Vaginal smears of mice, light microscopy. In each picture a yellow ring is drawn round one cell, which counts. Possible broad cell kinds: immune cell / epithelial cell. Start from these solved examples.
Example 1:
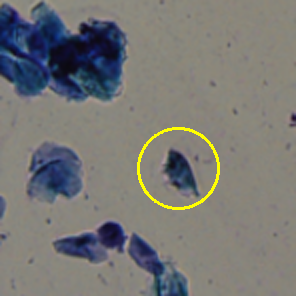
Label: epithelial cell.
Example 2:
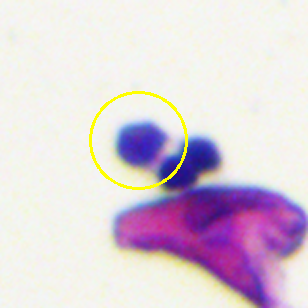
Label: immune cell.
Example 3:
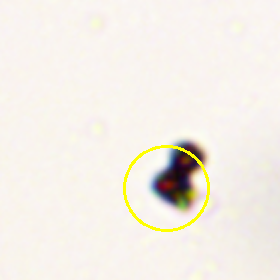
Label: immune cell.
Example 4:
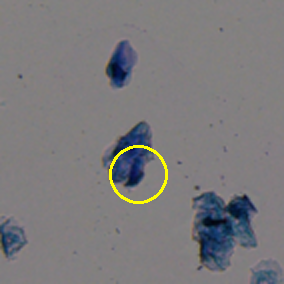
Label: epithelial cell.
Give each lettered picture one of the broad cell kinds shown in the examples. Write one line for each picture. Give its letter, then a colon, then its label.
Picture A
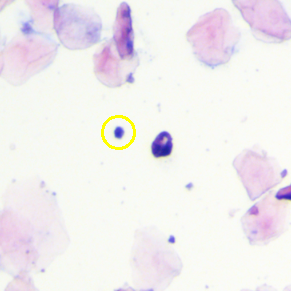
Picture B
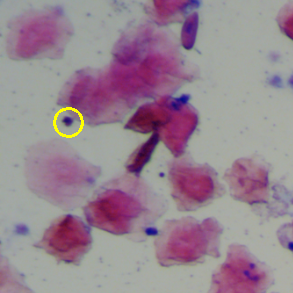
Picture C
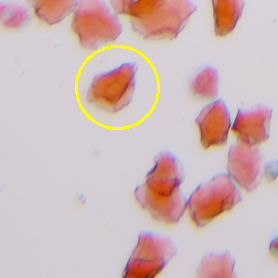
A: immune cell.
B: immune cell.
C: epithelial cell.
